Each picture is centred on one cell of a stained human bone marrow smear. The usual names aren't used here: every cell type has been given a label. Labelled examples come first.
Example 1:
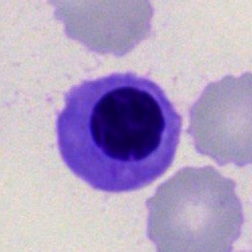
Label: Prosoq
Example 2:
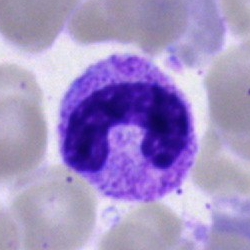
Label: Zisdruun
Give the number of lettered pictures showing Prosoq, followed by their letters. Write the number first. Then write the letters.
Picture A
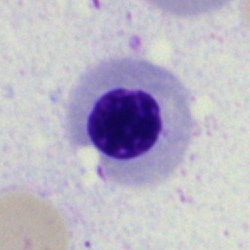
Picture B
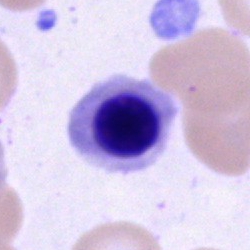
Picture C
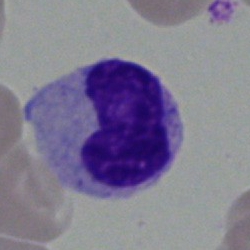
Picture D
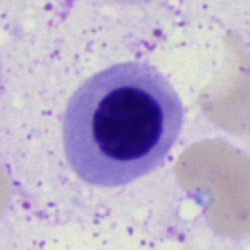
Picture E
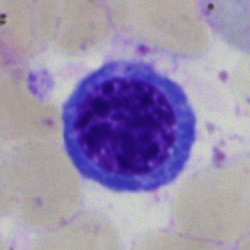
4: A, B, D, E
